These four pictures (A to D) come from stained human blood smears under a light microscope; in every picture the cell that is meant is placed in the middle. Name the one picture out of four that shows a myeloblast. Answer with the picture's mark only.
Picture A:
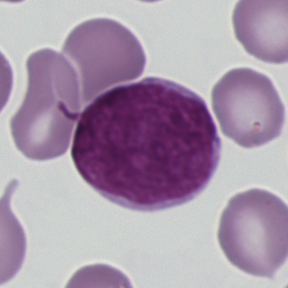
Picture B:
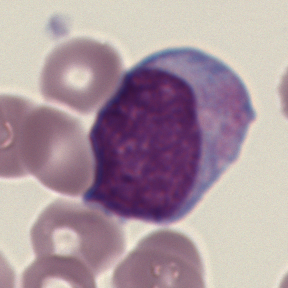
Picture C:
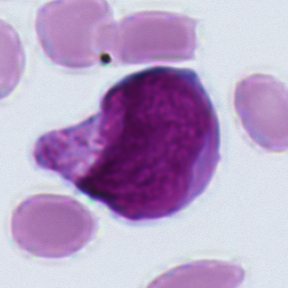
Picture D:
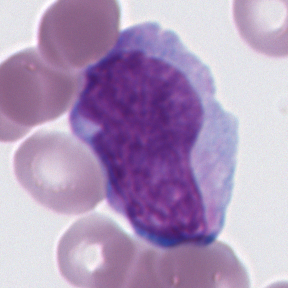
A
